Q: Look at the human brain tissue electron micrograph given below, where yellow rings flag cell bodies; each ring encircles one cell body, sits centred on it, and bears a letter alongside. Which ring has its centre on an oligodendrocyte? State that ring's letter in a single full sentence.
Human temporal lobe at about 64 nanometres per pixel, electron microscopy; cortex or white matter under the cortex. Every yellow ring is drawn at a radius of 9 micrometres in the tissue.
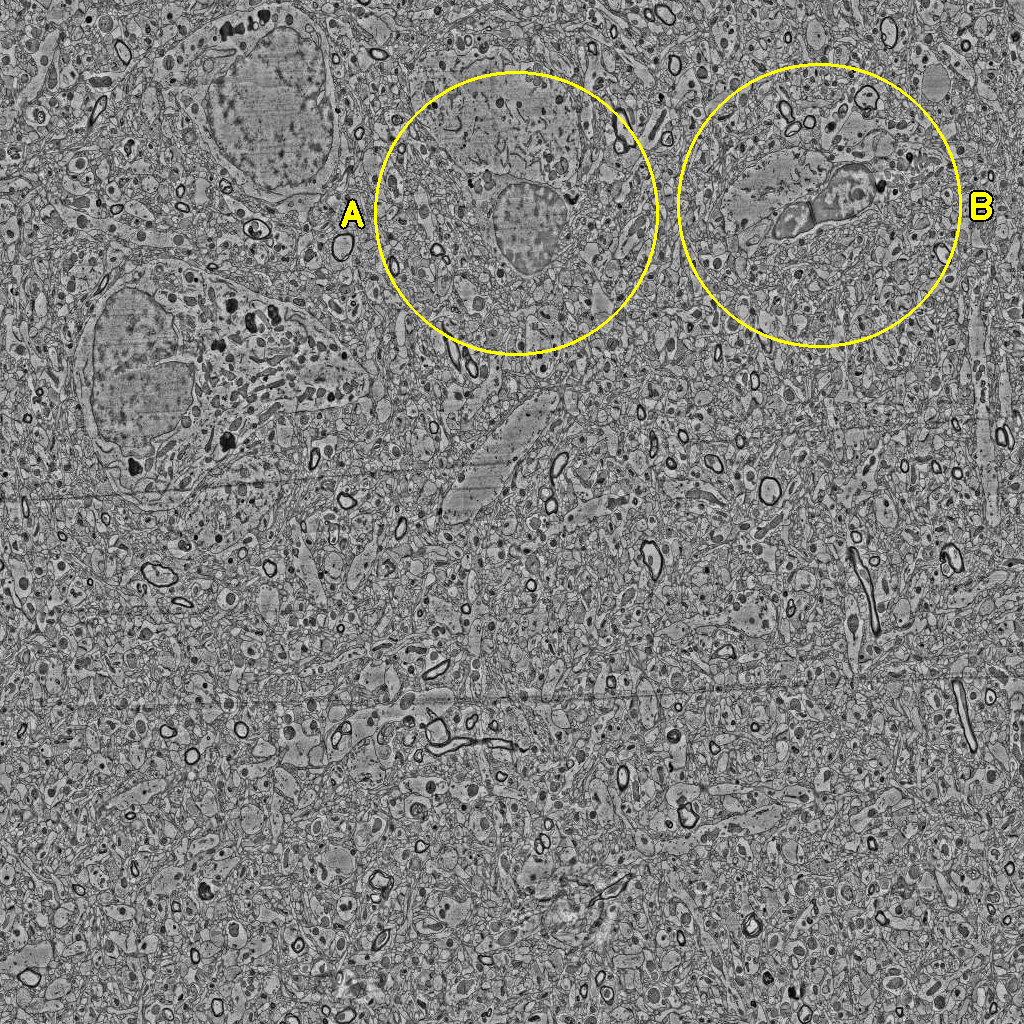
In the picture, the cell of that kind sits at the centre of ring A.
